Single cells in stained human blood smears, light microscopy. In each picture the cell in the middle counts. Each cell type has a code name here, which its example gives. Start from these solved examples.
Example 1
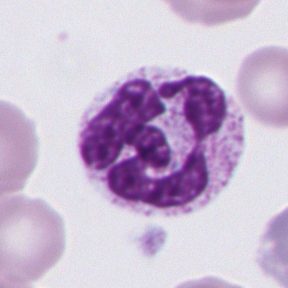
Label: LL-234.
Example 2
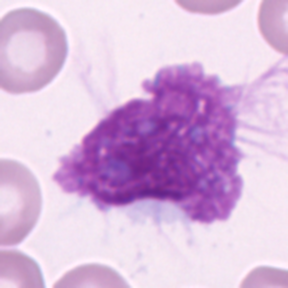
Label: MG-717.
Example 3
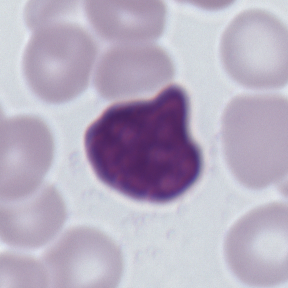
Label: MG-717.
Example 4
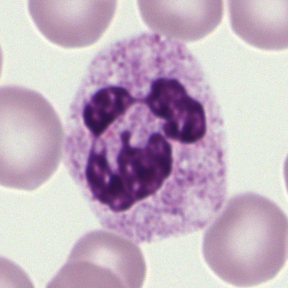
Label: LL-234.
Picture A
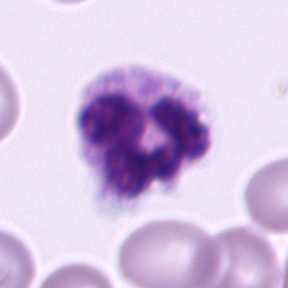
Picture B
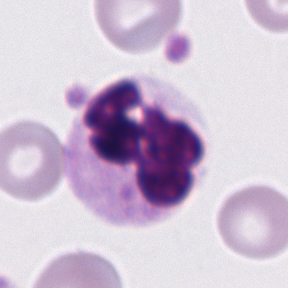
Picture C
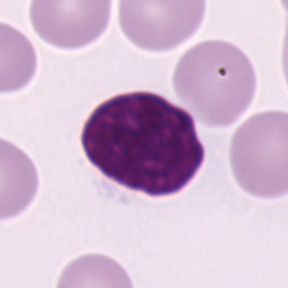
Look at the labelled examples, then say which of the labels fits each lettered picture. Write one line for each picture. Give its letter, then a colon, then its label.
A: LL-234.
B: LL-234.
C: MG-717.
